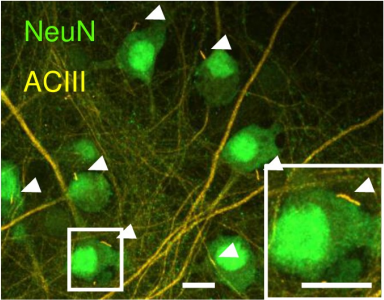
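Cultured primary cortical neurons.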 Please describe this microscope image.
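Several rounded to oval cell bodies fill with bright green fluorescence, scattered apart from one another across the field. A dense meshwork of long, thin yellow fibres runs between and across them in many directions. White arrowheads point to these rods. An enlarged inset of one boxed cell shows a single rod projecting from the edge of its green soma.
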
